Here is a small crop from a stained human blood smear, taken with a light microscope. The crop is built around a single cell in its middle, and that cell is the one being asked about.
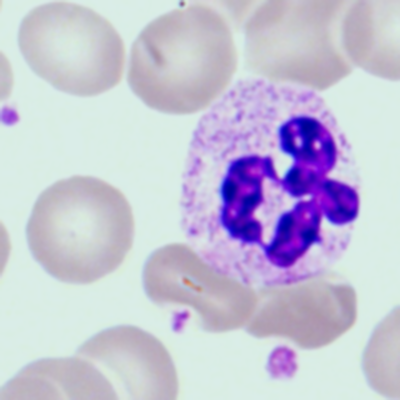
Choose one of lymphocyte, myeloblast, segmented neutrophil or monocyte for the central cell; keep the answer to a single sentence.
Positioned in the middle of the crop is a segmented neutrophil.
